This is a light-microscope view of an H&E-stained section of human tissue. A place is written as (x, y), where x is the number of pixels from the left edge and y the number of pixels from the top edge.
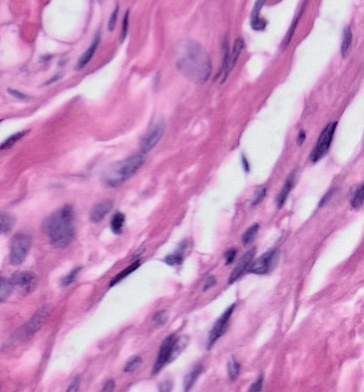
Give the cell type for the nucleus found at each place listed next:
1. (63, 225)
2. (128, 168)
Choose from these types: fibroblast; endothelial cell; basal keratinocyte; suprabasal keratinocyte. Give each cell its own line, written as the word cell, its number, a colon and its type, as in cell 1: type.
cell 1: fibroblast
cell 2: endothelial cell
